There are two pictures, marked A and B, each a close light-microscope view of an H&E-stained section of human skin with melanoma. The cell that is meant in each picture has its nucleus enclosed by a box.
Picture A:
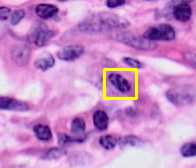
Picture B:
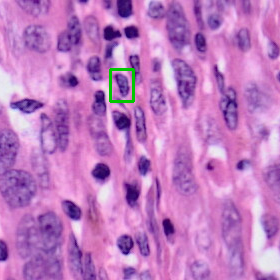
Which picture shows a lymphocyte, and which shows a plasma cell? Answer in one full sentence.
Picture B shows a lymphocyte, while picture A shows a plasma cell.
